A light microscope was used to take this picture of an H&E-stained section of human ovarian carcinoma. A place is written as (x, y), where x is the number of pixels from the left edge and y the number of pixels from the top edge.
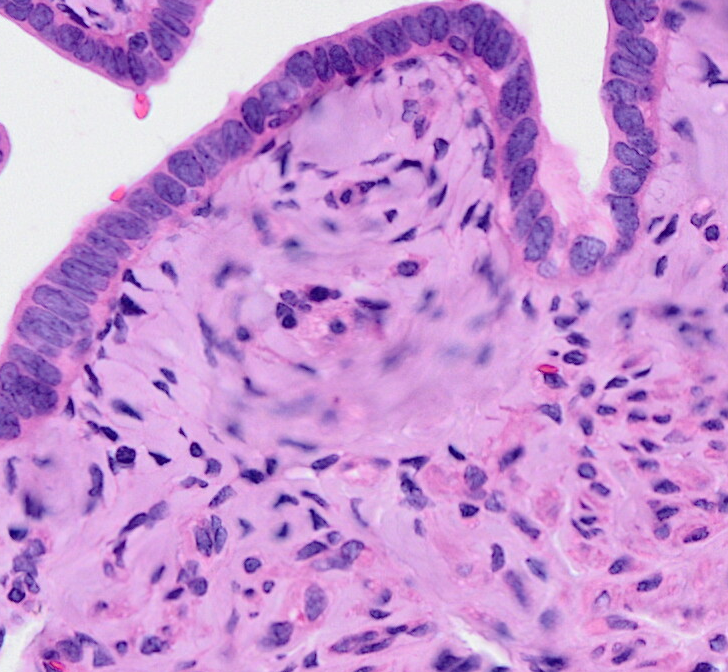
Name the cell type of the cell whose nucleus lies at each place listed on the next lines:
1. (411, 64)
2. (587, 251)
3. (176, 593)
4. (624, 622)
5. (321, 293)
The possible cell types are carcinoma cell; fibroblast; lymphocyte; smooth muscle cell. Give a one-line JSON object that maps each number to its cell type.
{"1": "fibroblast", "2": "carcinoma cell", "3": "smooth muscle cell", "4": "smooth muscle cell", "5": "lymphocyte"}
